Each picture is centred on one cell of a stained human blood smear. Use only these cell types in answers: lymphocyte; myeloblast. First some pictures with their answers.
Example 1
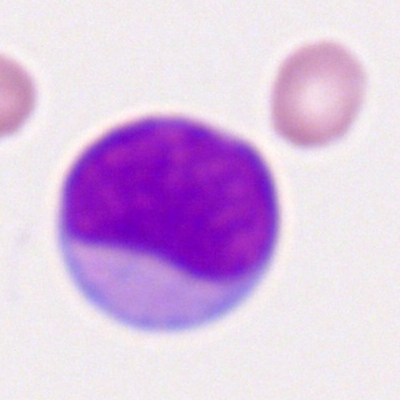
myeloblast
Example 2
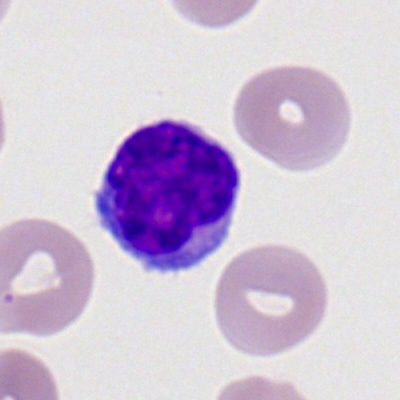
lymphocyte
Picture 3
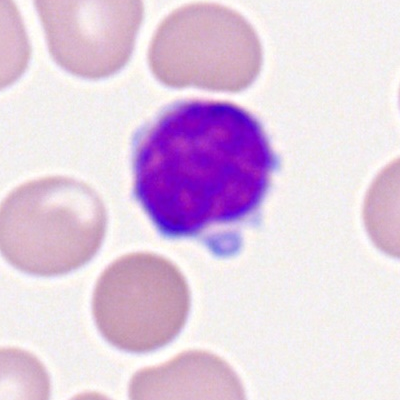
lymphocyte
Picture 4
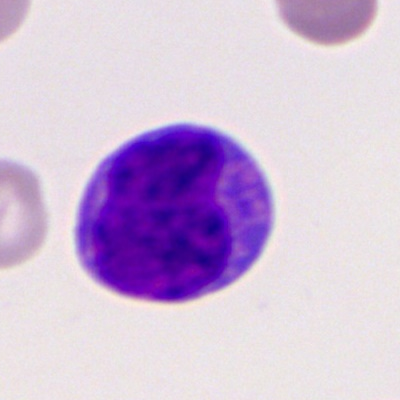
myeloblast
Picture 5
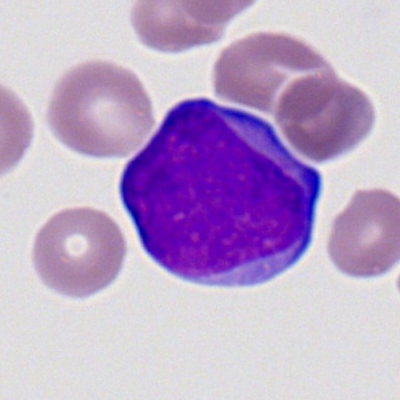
myeloblast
